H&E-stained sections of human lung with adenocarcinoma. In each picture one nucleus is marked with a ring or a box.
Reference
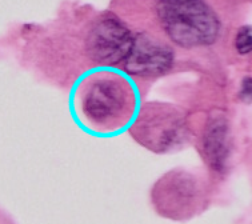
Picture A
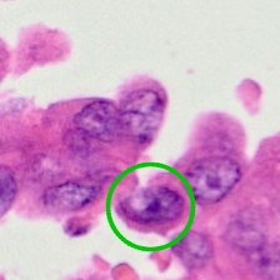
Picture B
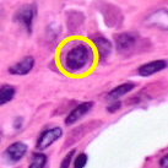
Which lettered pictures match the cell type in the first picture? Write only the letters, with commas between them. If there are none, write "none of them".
A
